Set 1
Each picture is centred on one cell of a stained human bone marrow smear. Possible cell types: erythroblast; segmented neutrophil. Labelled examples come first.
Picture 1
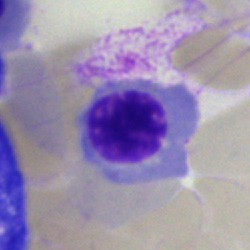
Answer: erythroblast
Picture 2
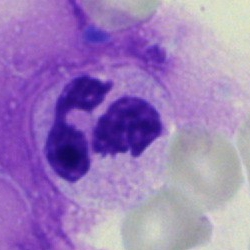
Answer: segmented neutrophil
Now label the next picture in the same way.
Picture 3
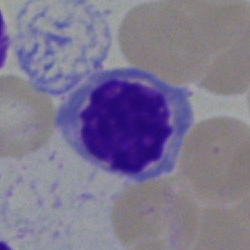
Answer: erythroblast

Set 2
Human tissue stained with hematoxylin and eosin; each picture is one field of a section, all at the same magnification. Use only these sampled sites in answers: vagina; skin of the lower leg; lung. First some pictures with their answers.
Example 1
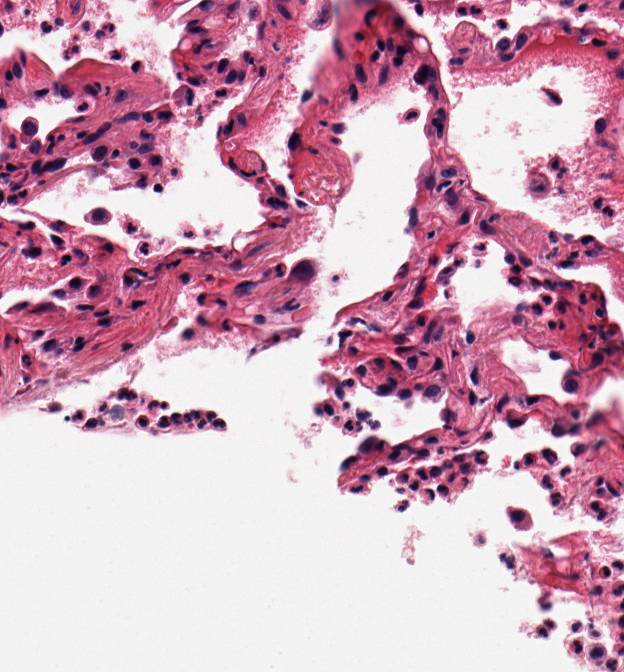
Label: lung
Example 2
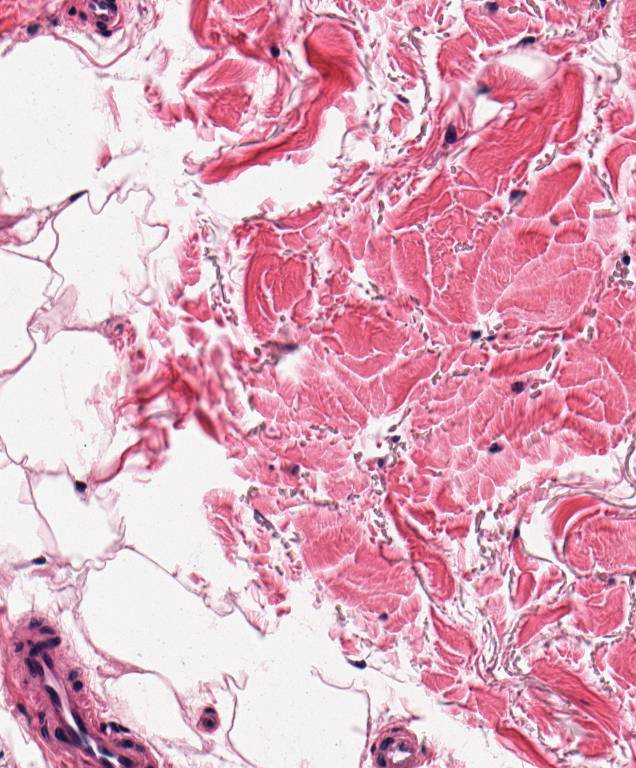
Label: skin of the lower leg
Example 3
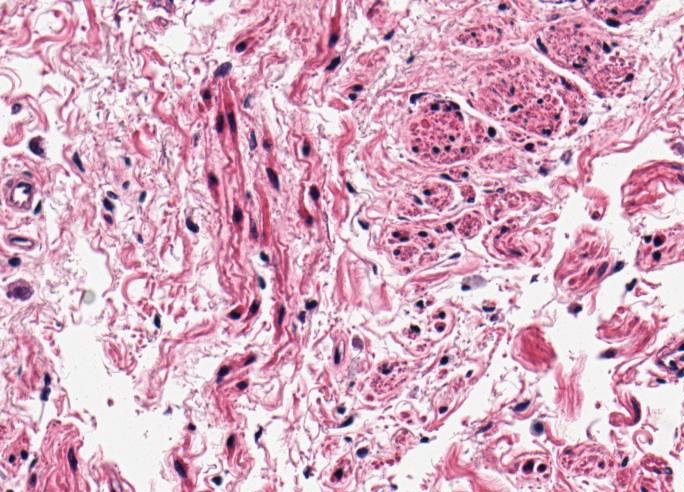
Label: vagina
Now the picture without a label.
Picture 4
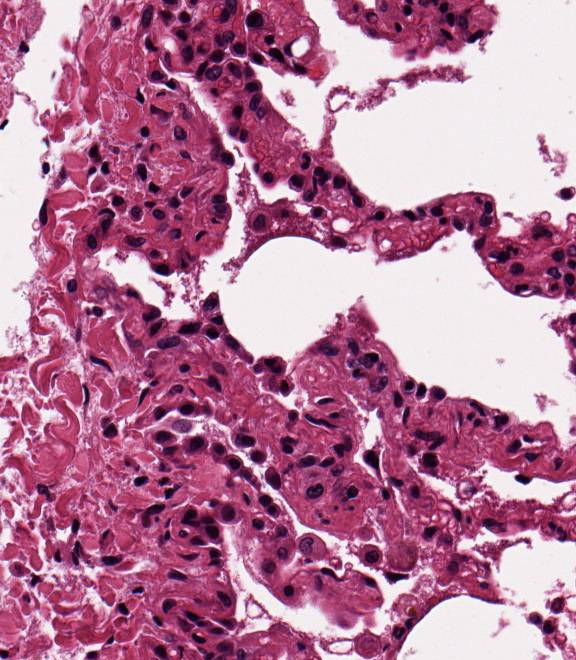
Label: lung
